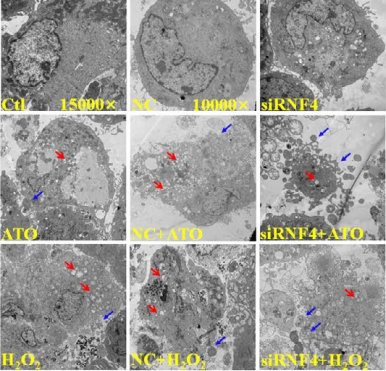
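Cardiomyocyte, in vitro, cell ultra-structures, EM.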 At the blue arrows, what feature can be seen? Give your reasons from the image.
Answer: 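The blue arrows point to small rounded membrane-bound bodies at or beyond the cell edge. The cells they lie beside have irregular, broken-up outlines. That points to this answer: apoptotic body.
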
